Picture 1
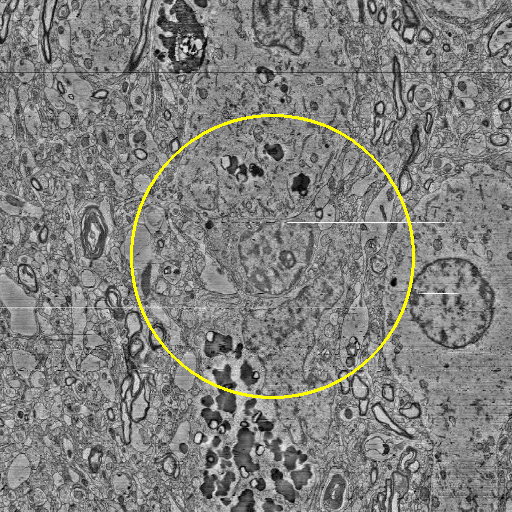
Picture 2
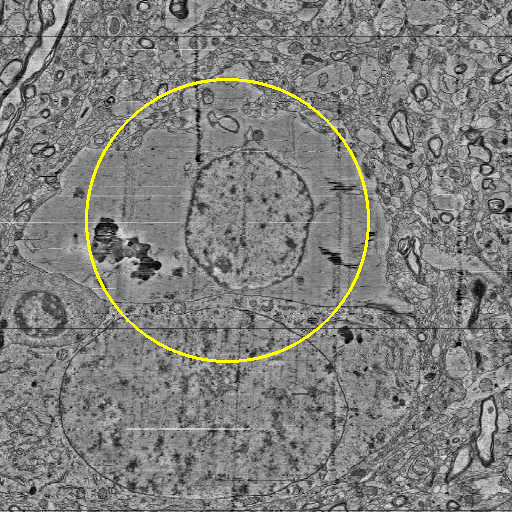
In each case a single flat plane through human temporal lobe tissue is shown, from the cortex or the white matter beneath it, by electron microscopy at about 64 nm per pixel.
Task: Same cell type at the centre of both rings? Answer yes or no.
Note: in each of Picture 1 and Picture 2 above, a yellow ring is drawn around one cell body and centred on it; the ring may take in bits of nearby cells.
no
